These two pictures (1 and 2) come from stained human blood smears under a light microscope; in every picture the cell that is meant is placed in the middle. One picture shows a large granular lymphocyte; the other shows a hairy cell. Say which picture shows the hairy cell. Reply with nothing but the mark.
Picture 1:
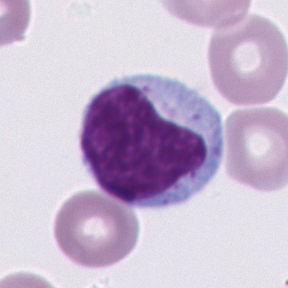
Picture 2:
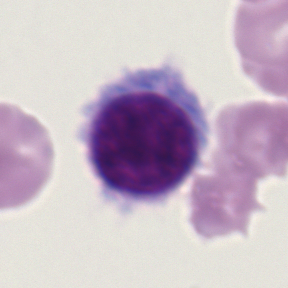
2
